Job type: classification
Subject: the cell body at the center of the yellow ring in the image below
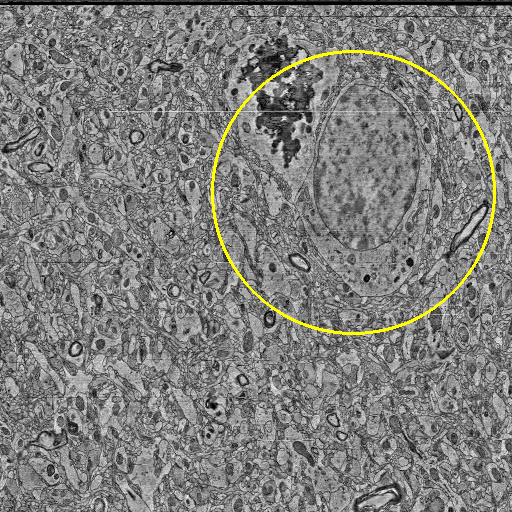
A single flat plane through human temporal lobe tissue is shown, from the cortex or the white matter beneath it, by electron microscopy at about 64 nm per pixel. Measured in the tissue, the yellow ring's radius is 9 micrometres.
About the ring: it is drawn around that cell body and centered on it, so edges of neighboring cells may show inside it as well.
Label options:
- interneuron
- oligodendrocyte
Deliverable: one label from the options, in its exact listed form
interneuron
